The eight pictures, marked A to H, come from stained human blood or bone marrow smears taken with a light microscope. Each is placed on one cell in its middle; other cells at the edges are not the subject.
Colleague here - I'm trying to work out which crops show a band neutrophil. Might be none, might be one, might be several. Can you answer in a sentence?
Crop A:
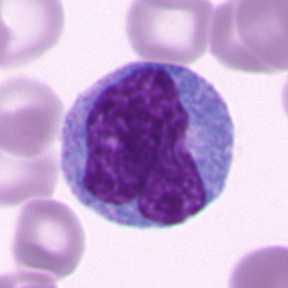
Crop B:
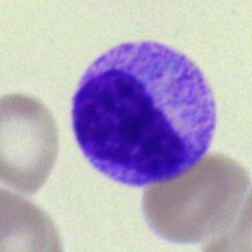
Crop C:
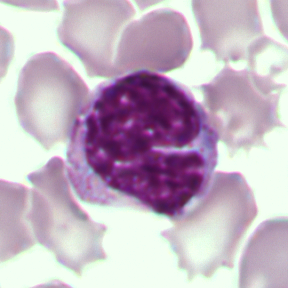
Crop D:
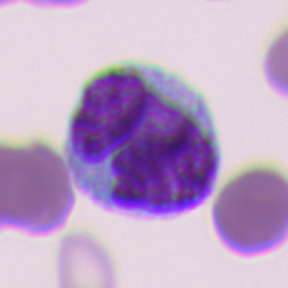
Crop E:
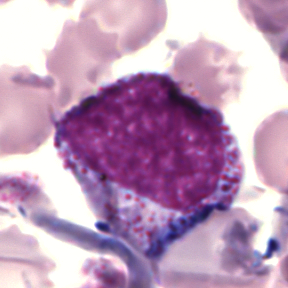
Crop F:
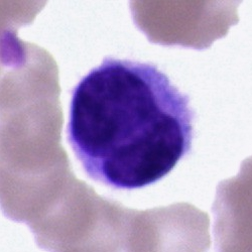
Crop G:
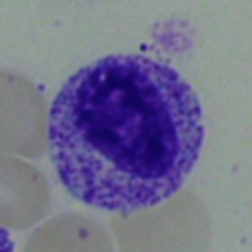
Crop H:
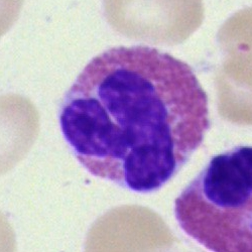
Of all the crops, only crop C shows a band neutrophil.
